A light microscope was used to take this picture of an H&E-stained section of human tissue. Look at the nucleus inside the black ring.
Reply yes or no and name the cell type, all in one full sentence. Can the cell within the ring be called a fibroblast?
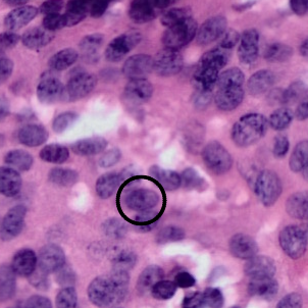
No, the cell within the ring is recorded as a carcinoma cell instead of a fibroblast.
